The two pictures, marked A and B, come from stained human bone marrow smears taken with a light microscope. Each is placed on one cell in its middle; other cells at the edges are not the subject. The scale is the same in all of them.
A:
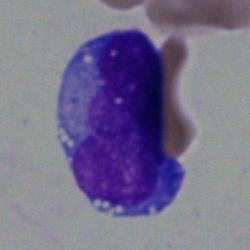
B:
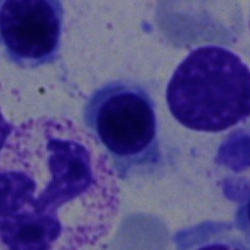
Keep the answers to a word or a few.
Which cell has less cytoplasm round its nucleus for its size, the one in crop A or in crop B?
B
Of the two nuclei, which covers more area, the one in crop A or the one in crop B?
A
